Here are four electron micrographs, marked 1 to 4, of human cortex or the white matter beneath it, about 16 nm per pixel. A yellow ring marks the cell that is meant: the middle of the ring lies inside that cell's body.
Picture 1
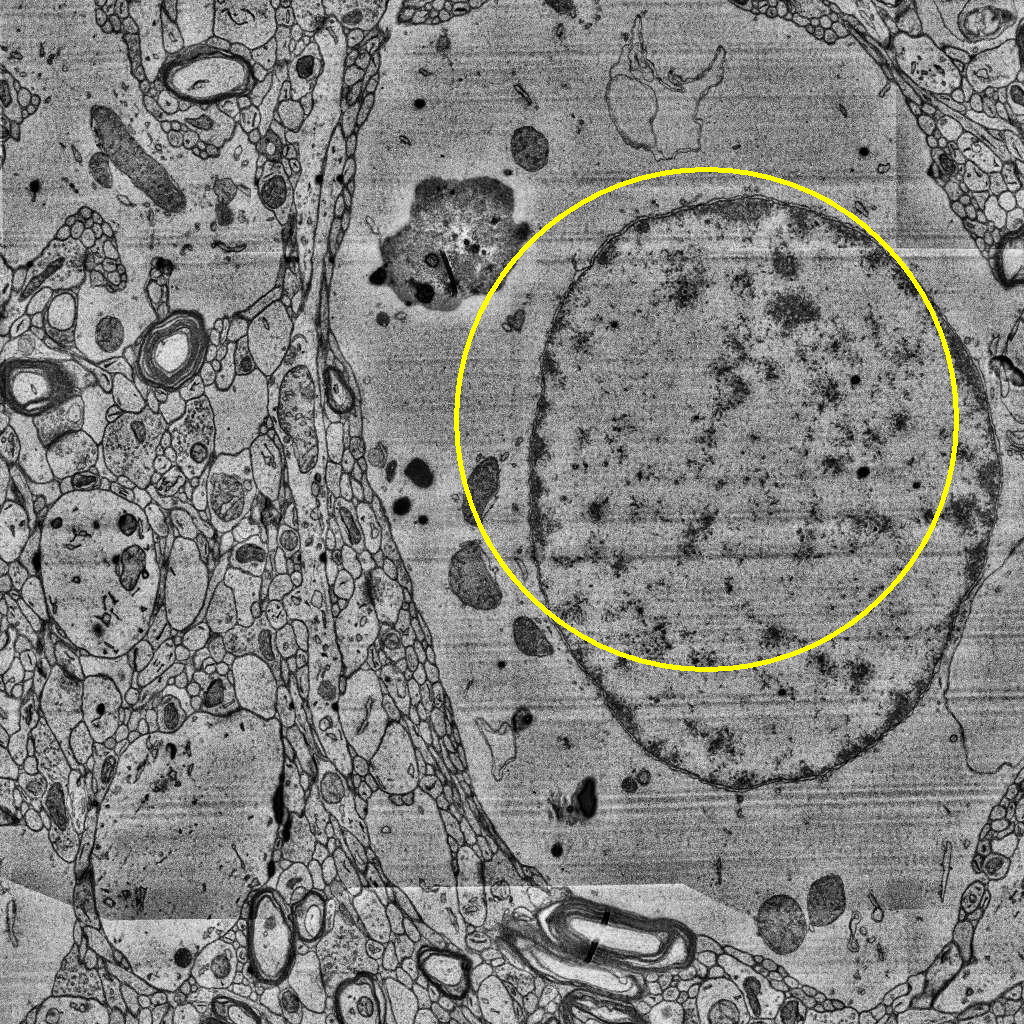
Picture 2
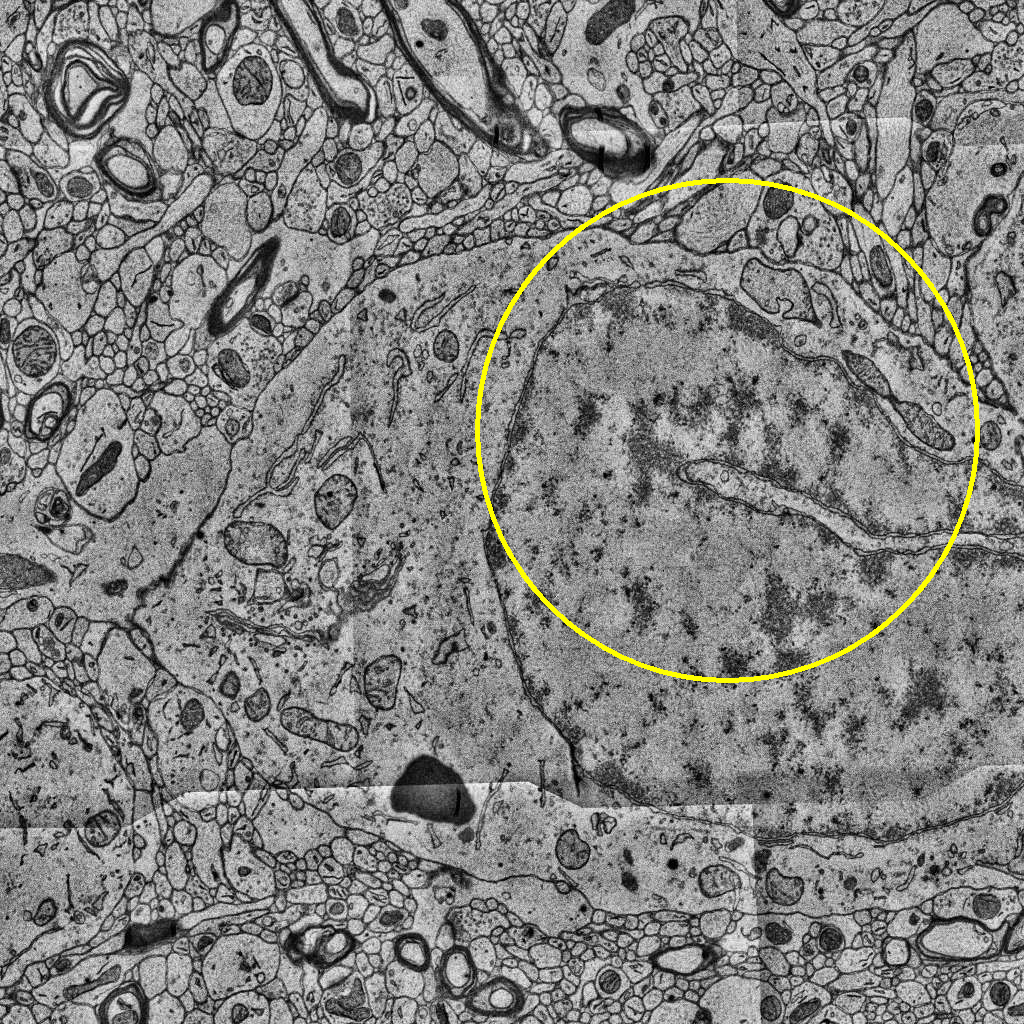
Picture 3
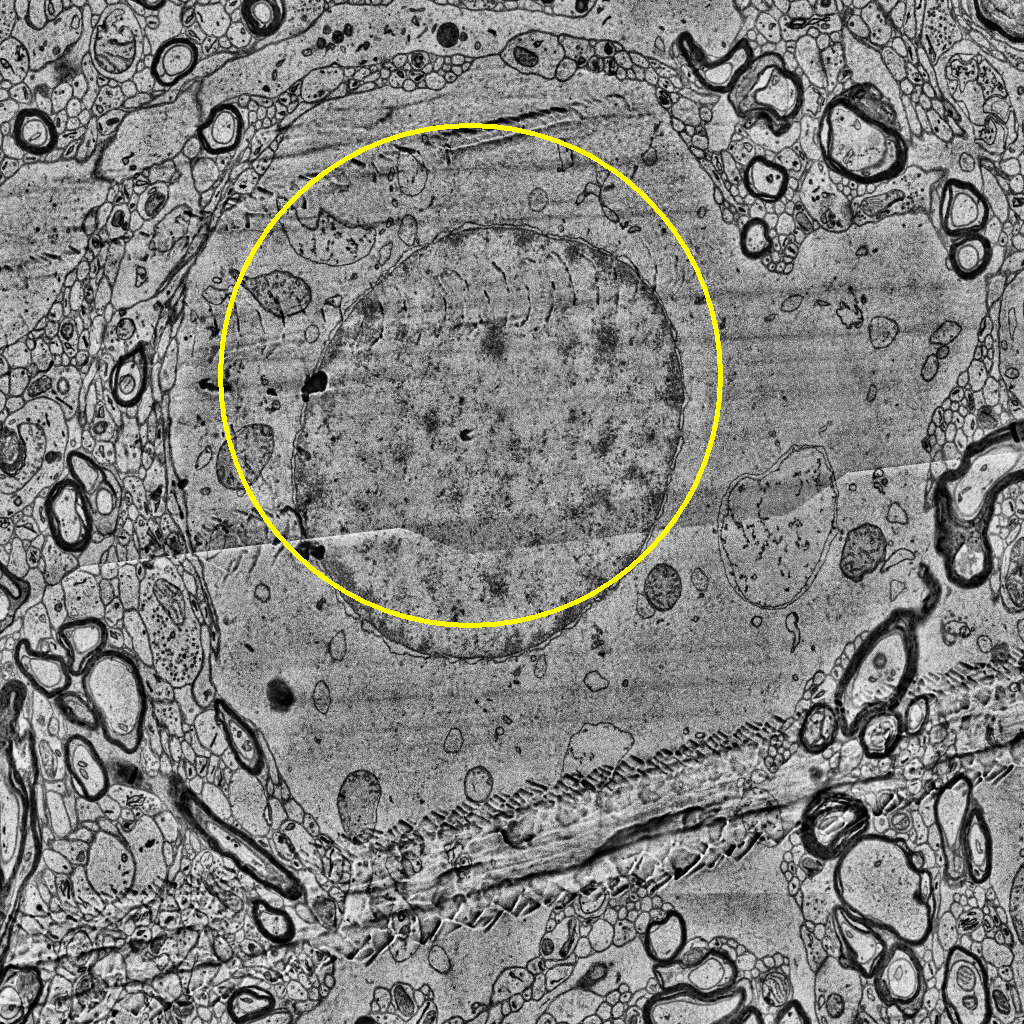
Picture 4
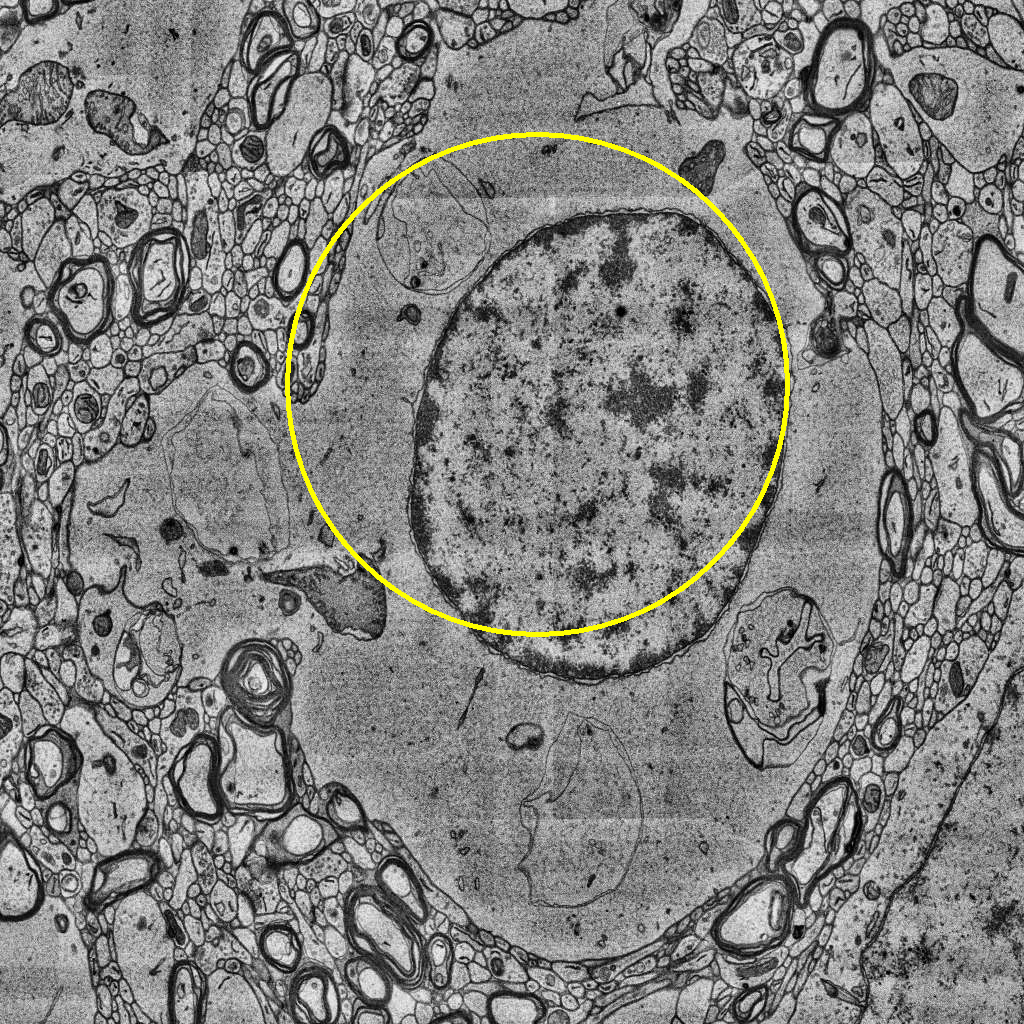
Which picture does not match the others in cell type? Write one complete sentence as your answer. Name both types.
All pictures except 2 show astrocytes; picture 2 shows an interneuron.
